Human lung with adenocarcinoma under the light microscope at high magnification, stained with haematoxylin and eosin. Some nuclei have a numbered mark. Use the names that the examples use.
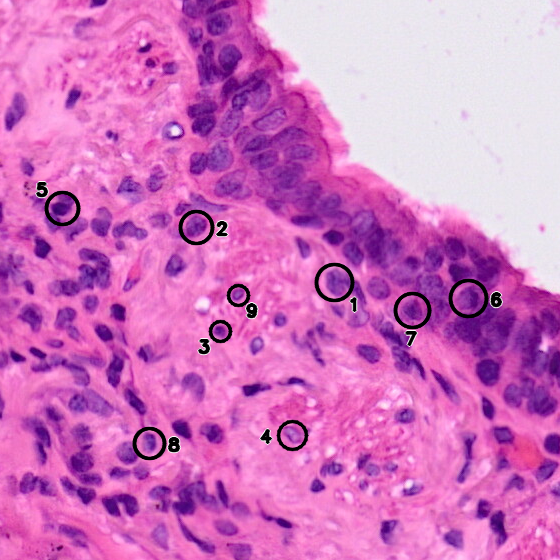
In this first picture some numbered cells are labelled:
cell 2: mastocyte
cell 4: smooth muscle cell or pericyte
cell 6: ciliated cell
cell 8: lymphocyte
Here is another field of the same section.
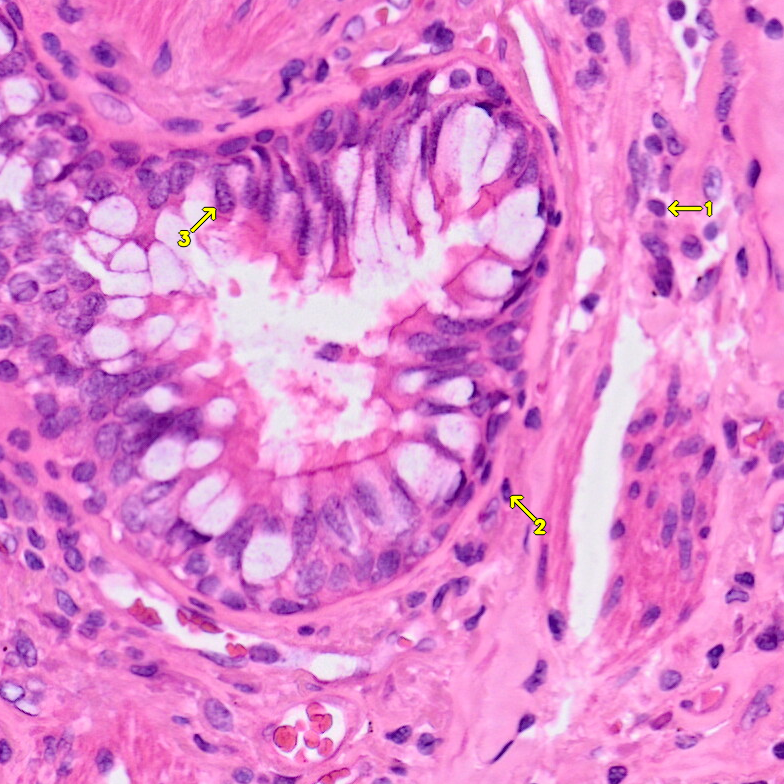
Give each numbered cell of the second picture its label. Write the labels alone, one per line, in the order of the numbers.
lymphocyte
mastocyte
ciliated cell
